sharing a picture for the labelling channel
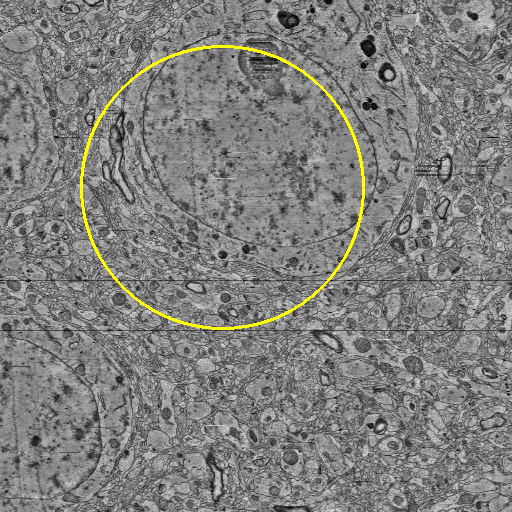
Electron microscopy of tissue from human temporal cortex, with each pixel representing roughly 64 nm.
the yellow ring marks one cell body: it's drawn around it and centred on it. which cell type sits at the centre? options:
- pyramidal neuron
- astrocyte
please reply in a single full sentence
In the picture, the cell at the ring's centre is a pyramidal neuron, going by the list.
